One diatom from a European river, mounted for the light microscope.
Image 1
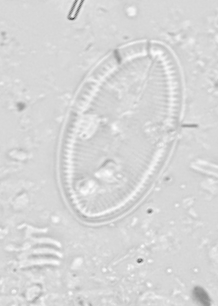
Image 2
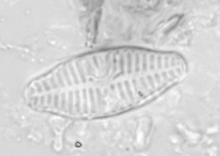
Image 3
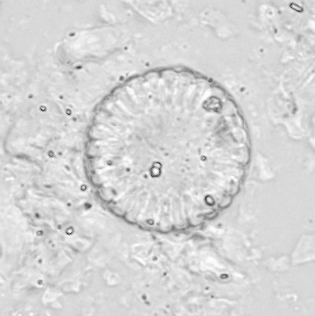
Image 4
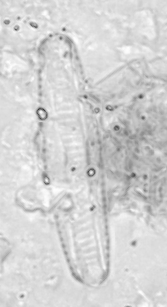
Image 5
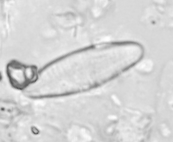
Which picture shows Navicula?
Picture 4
